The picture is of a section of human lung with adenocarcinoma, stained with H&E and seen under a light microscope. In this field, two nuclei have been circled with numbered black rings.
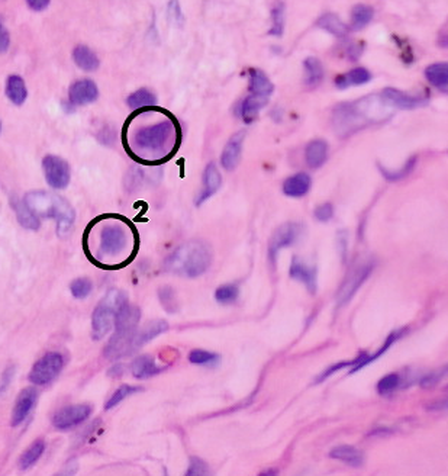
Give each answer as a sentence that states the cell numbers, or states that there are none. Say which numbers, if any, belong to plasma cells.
Only number 1 of the marked cells is a plasma cell.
